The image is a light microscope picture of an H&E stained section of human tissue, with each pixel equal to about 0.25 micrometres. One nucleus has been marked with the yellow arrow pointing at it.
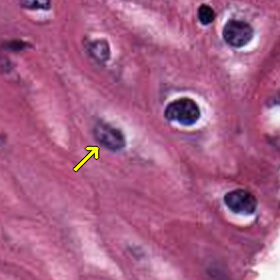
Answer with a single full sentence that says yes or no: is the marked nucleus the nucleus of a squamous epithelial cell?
Yes, the nucleus that is marked belongs to a squamous epithelial cell.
